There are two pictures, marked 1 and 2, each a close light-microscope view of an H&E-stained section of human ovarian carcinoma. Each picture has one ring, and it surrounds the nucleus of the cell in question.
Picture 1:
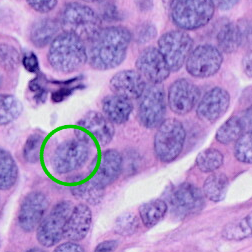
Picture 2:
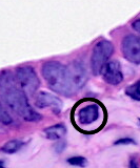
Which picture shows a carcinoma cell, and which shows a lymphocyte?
1: carcinoma cell
2: lymphocyte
